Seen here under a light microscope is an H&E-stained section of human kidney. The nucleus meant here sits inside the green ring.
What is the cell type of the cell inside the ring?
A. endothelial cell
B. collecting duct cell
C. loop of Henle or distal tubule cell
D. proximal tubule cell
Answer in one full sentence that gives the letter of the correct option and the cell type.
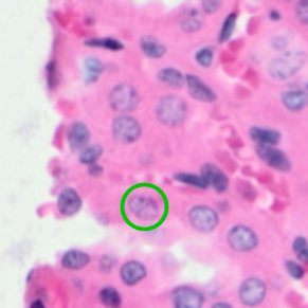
According to option C, the cell inside the ring is a loop of Henle or distal tubule cell, and this is correct.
